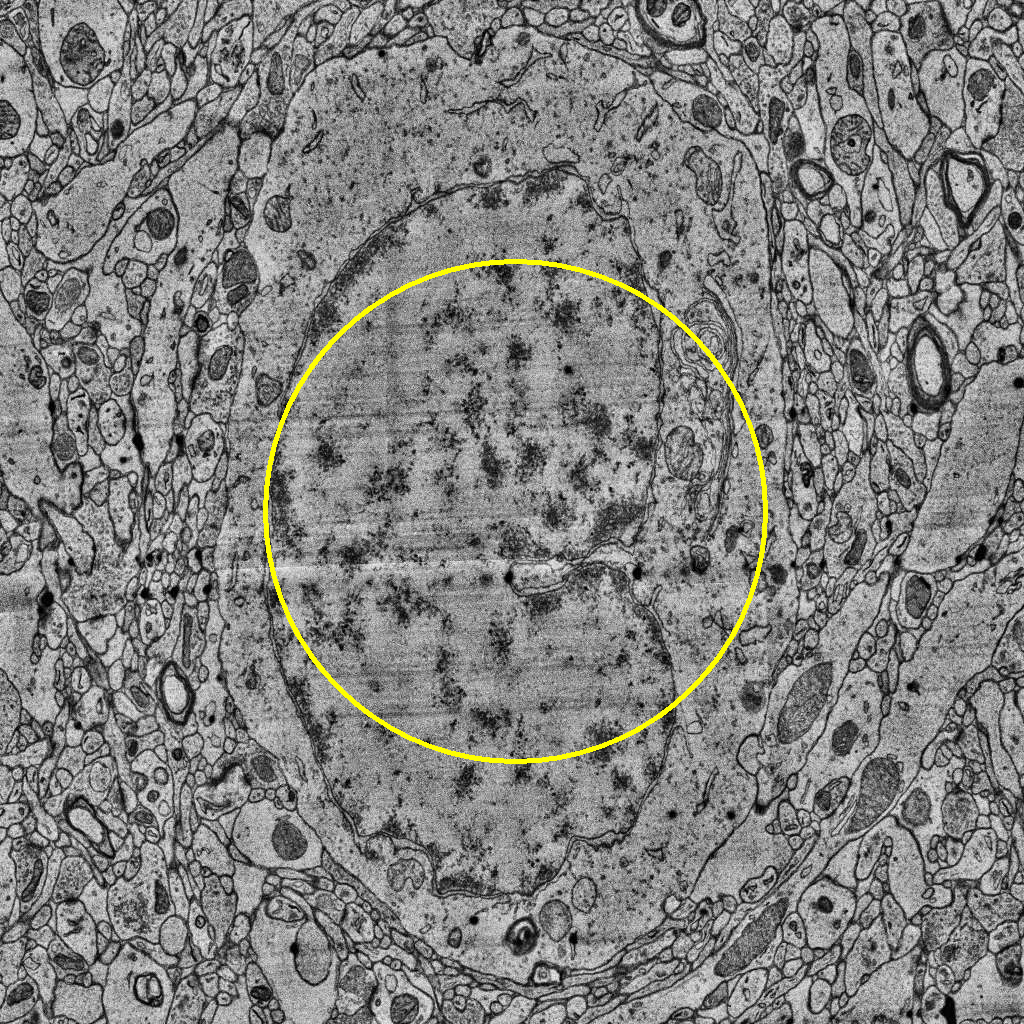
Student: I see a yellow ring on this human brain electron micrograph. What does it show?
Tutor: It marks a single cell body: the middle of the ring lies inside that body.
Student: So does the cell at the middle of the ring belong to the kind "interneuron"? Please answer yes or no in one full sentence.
Yes, the cell lying at the middle of that yellow ring belongs to this kind.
